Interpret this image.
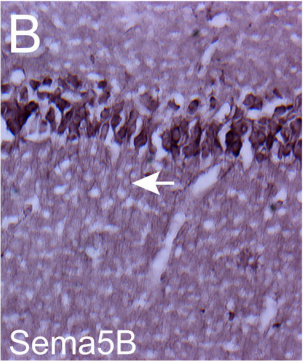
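A dense band of darkly stained, triangular cell bodies lies across the top of the field, with a pale, finely textured layer below it. Thin stained processes run downward from the band in parallel. These are hippocampal pyramidal neurons, with their neurites extending into the layer beneath.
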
